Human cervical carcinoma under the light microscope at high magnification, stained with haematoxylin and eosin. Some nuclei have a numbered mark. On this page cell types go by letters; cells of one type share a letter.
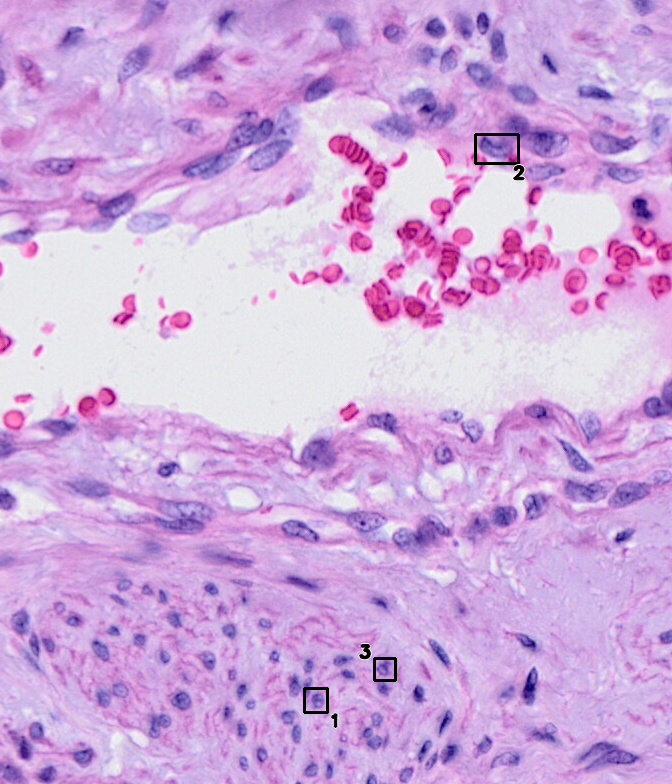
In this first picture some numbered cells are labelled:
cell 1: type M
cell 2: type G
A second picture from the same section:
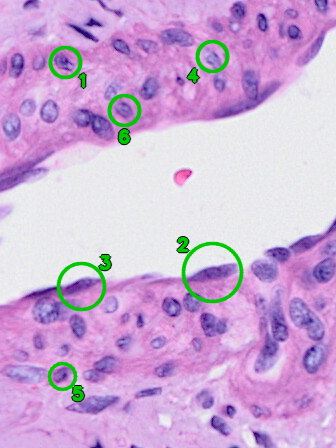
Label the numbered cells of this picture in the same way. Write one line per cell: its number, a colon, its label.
1: type M
2: type G
3: type G
4: type M
5: type M
6: type M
